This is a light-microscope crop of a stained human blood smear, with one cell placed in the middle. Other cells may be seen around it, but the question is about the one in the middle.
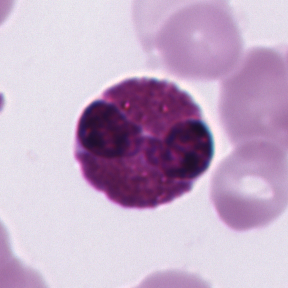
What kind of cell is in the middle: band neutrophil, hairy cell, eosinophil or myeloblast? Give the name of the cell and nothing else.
eosinophil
